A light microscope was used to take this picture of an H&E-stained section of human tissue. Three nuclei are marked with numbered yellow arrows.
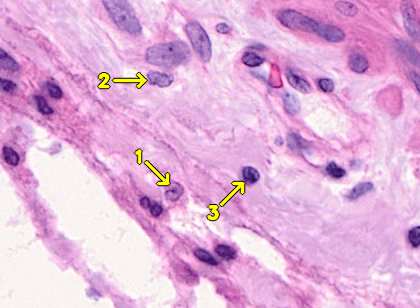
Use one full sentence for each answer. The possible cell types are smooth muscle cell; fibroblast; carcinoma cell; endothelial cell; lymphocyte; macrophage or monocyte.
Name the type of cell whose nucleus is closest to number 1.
The nucleus nearest to number 1 is that of a macrophage or monocyte.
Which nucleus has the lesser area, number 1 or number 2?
Number 1 is smaller, since number 2 takes up about 1.5 times as much area.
